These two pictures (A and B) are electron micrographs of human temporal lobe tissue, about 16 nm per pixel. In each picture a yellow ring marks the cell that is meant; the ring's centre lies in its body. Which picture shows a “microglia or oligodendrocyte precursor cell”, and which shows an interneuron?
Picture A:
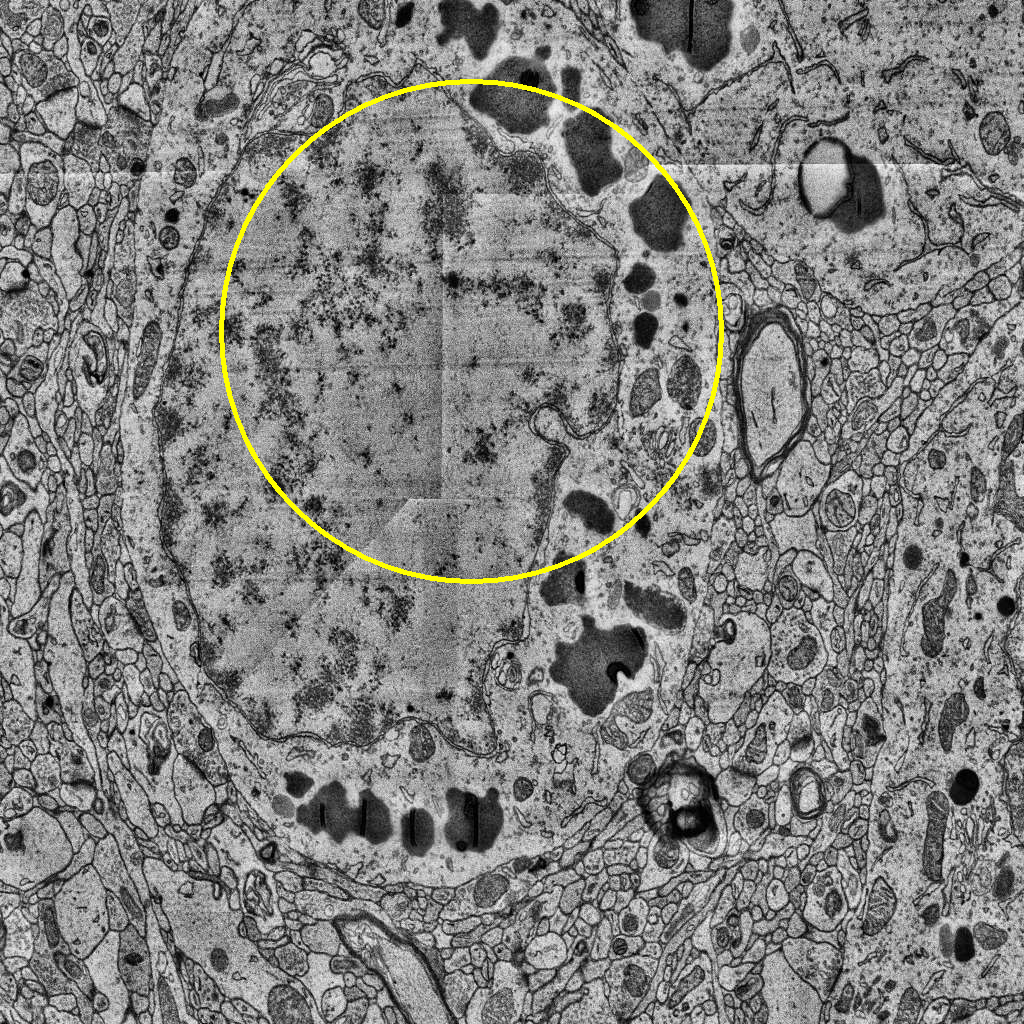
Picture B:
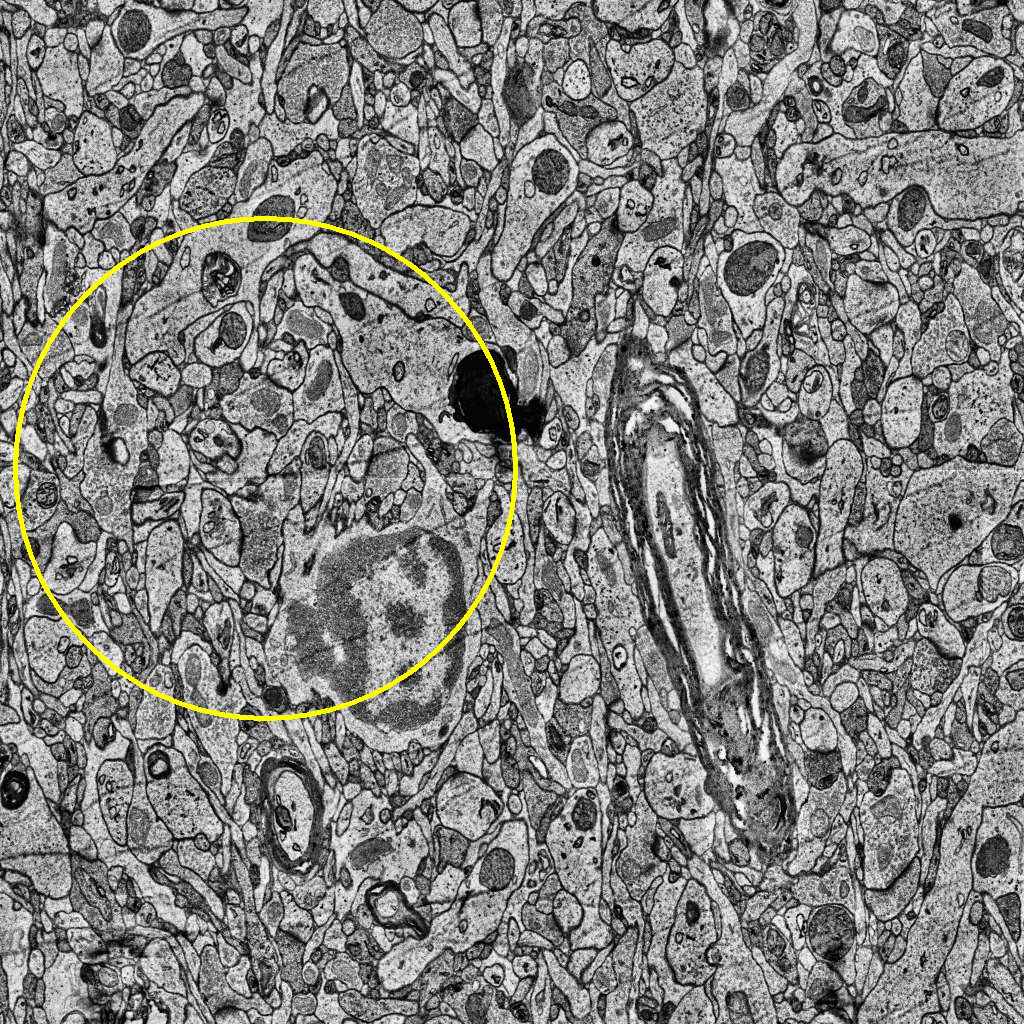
The cell in picture A is an interneuron, and the one in picture B is a “microglia or oligodendrocyte precursor cell”.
